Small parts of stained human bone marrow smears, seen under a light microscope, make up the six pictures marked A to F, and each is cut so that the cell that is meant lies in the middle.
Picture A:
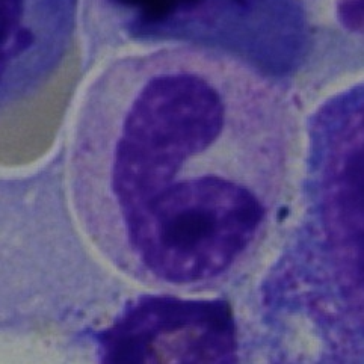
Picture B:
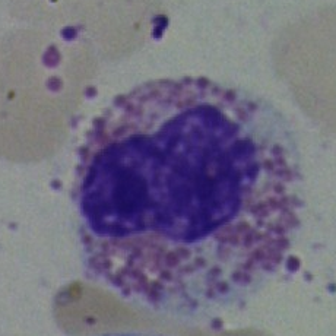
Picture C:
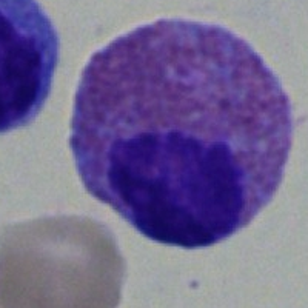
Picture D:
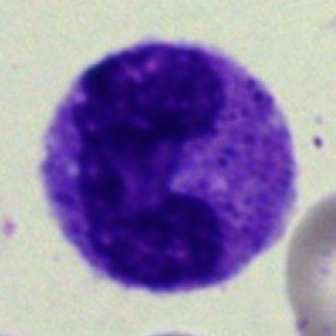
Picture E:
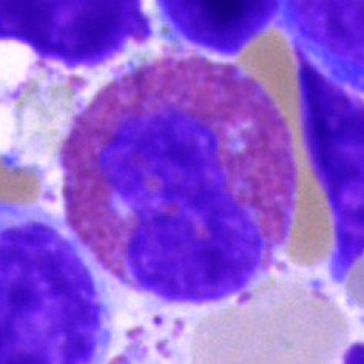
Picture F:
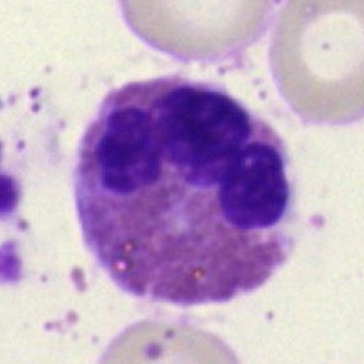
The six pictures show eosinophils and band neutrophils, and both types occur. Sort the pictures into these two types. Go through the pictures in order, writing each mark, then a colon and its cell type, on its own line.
A: band neutrophil
B: eosinophil
C: eosinophil
D: band neutrophil
E: eosinophil
F: eosinophil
